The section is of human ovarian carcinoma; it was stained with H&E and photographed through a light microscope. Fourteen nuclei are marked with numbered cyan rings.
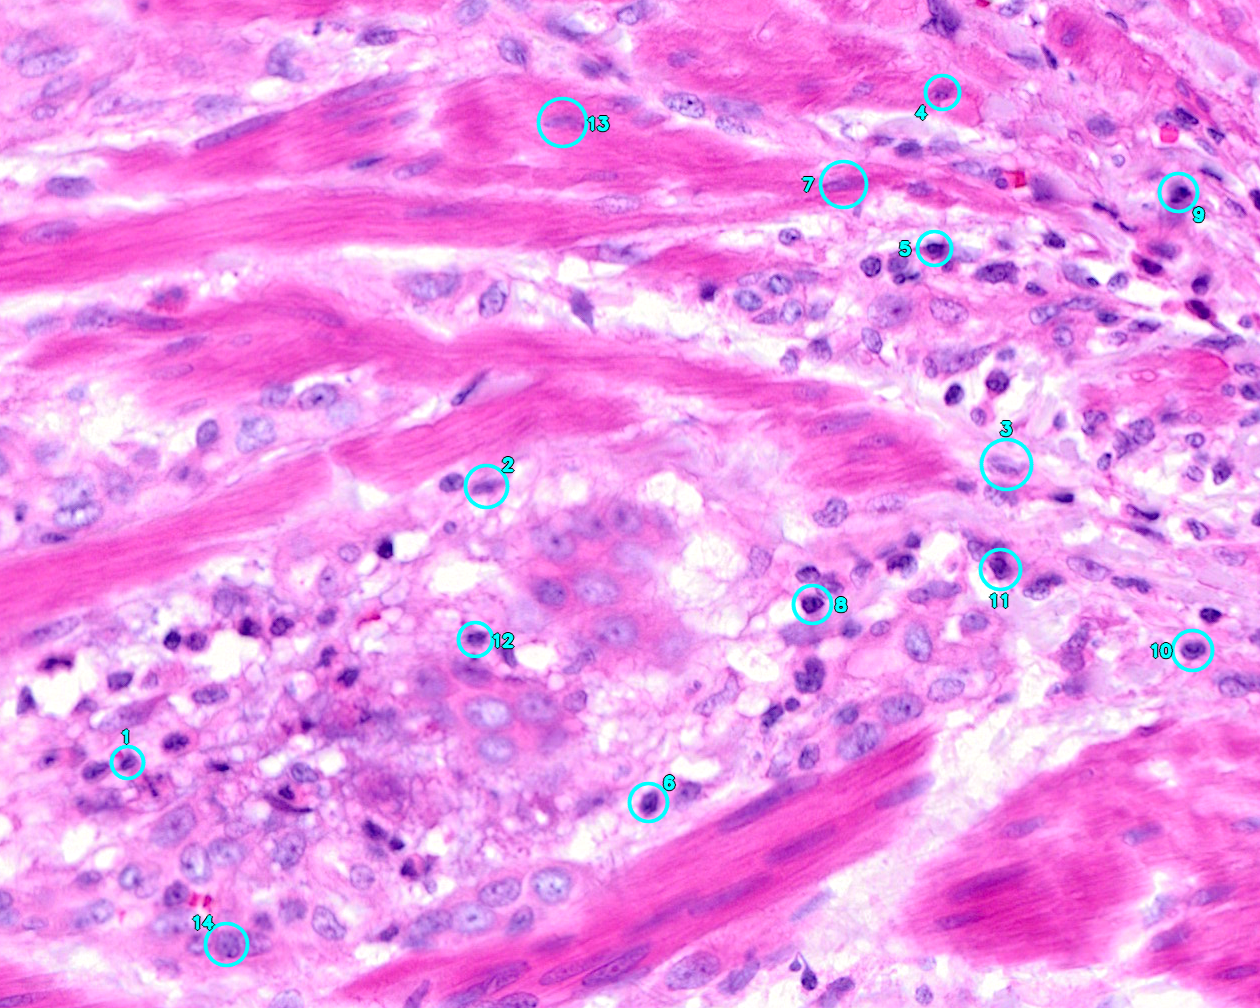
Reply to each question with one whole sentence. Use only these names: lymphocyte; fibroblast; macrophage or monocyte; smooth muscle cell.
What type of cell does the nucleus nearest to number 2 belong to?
The nucleus nearest to number 2 is that of a lymphocyte.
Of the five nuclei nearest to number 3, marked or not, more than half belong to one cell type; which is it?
Most of the five nuclei nearest to number 3 are those of macrophages or monocytes.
